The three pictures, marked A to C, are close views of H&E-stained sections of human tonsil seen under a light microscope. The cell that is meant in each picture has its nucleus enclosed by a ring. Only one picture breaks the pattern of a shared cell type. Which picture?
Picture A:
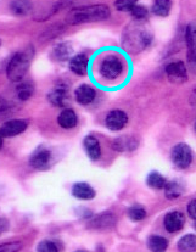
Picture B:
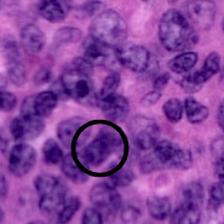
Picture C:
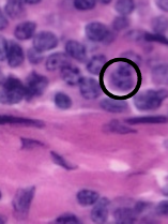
B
